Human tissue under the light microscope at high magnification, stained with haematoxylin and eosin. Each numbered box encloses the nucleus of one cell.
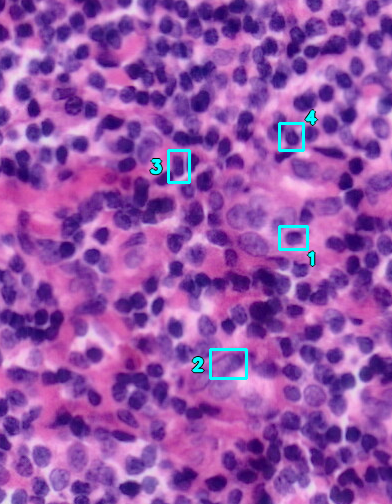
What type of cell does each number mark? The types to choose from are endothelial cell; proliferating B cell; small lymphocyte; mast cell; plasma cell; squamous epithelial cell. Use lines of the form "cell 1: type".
cell 1: endothelial cell
cell 2: endothelial cell
cell 3: small lymphocyte
cell 4: small lymphocyte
